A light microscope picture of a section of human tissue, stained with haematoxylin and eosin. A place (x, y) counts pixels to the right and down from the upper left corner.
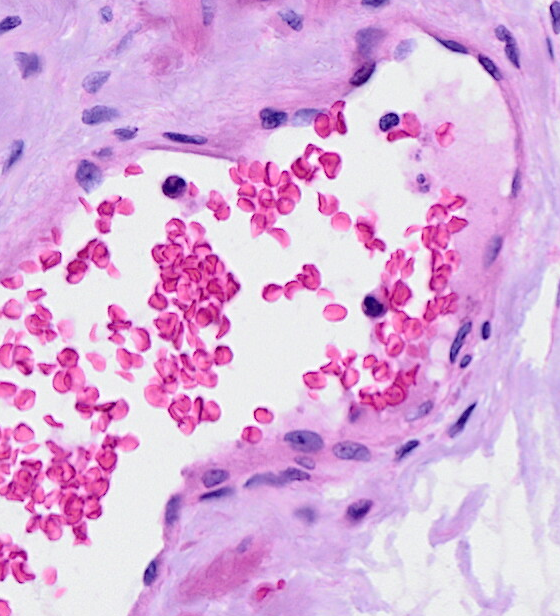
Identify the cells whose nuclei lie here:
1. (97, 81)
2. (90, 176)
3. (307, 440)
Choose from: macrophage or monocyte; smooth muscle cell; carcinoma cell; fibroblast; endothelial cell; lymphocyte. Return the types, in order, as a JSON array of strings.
["fibroblast", "endothelial cell", "endothelial cell"]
